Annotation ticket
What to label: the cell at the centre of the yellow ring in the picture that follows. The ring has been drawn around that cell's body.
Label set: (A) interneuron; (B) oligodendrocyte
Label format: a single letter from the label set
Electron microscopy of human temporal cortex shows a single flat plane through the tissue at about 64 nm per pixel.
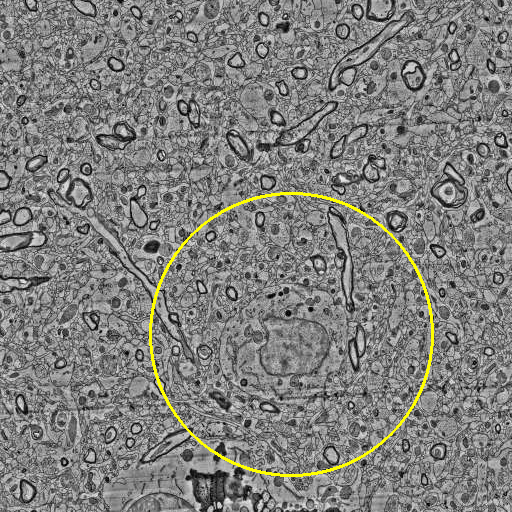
A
